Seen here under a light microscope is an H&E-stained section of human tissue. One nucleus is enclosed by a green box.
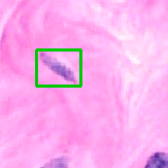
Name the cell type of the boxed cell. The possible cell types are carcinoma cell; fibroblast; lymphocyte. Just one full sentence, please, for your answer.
The identity of the boxed cell: it is a fibroblast.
